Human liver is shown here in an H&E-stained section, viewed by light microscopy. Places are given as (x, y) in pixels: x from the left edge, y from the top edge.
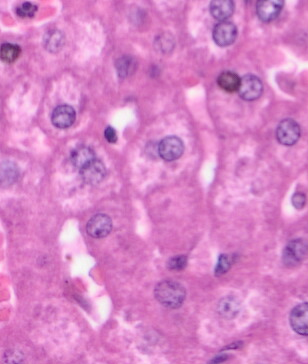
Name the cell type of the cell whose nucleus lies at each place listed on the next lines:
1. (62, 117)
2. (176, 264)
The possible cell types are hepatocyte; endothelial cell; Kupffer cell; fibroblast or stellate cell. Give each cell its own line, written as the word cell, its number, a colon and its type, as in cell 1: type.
cell 1: hepatocyte
cell 2: fibroblast or stellate cell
